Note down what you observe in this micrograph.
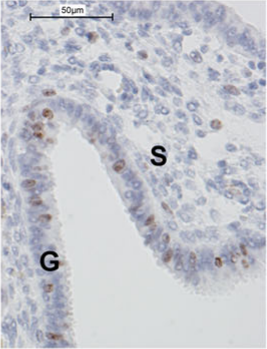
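This is endometrium showing a gland with a broad, open lumen and stroma above it. The gland is lined by a single folded layer of columnar epithelial cells with oval nuclei. Only scattered nuclei in the lining are stained brown, and most of them are pale, with the rest counterstained blue. The stroma is loosely arranged, with small oval to spindle-shaped cells spread apart from one another, and brown nuclei there are few.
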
